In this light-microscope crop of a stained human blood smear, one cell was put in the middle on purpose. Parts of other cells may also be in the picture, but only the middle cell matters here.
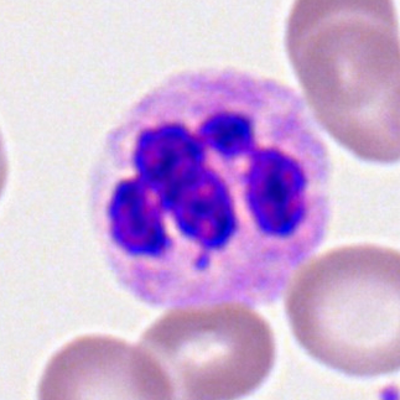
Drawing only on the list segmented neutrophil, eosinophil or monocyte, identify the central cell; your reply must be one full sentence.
The cell at the centre of the field is a segmented neutrophil.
